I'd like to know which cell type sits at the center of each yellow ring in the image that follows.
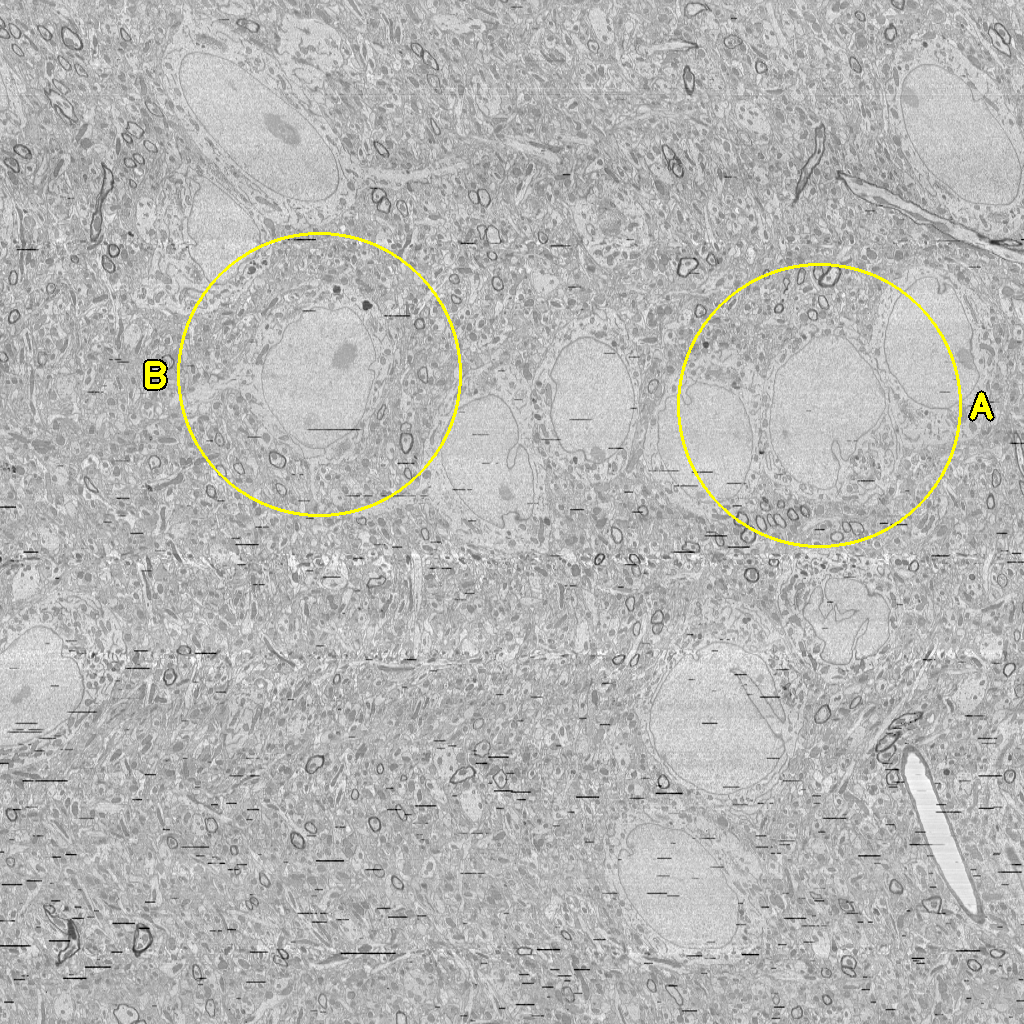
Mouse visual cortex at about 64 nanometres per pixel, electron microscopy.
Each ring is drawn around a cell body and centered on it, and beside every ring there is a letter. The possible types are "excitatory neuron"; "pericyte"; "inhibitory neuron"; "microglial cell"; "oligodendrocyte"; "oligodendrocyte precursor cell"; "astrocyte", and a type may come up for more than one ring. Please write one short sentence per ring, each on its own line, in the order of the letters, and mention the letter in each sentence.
The cell at the center of ring A is an inhibitory neuron.
The cell at the center of ring B is an excitatory neuron.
